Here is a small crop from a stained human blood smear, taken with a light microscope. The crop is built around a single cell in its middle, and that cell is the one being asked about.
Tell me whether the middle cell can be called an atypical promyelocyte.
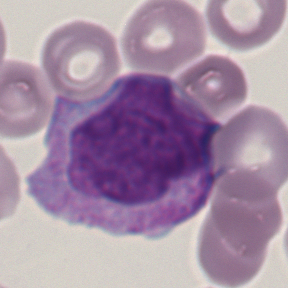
yes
